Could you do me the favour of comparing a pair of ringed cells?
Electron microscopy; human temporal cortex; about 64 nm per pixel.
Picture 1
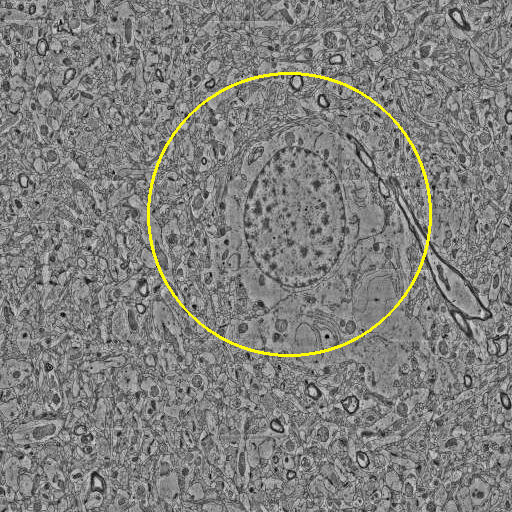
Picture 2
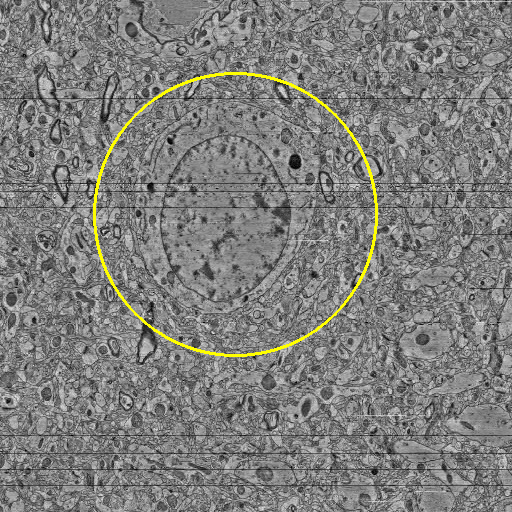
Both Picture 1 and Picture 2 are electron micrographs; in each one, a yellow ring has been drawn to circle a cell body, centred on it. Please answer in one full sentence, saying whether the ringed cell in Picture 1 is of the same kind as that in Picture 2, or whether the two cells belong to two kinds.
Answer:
The ringed cells in Picture 1 and Picture 2 belong to two kinds.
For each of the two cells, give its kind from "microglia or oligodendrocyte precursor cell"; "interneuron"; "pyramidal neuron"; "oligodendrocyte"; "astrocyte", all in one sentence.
The first picture has an astrocyte in its ring, the second has a pyramidal neuron.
